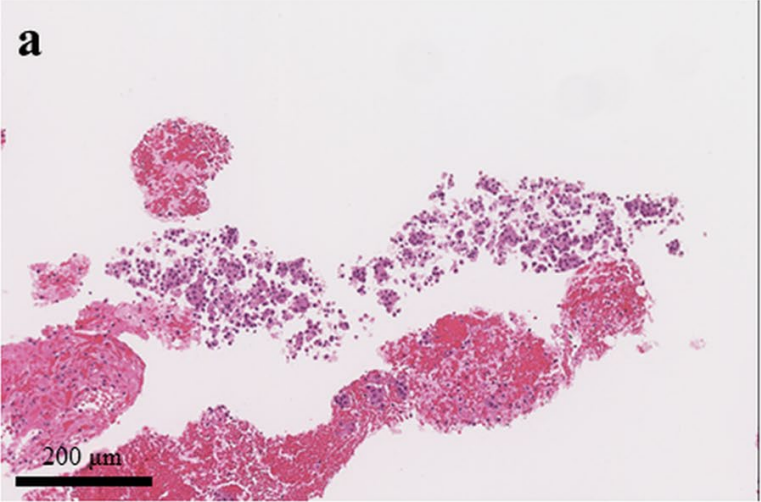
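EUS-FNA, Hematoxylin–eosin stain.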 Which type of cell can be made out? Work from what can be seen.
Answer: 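Small round monotonous cells. Loose clusters of small cells with round, dark purple nuclei. The clusters lie beside pink, blood-rich material.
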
